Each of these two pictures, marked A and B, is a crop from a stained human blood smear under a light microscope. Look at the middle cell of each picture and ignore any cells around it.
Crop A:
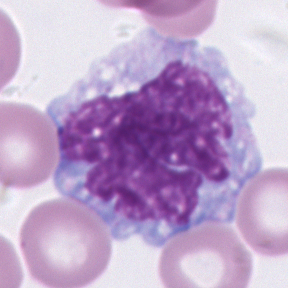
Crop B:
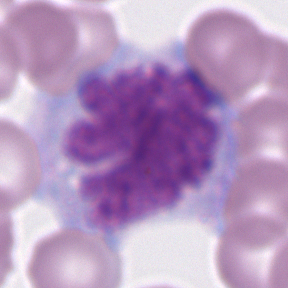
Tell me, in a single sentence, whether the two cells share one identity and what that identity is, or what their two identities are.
Yes, the cells placed at the centre of both crops are monocytes.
